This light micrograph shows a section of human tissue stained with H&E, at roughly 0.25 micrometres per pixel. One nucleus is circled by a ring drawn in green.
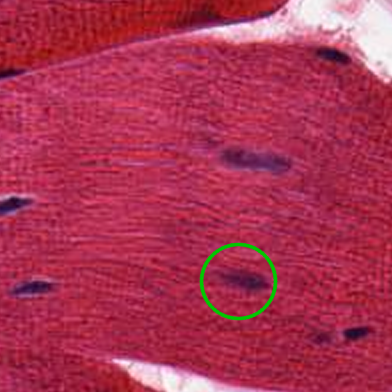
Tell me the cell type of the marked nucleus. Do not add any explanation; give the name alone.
skeletal muscle fibre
